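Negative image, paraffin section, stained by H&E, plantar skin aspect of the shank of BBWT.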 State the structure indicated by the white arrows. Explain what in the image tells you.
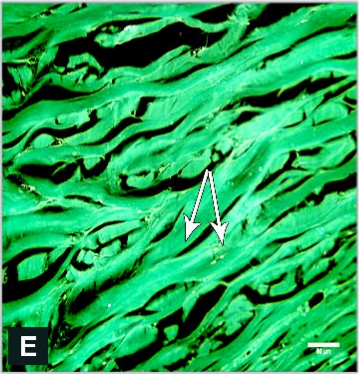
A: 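The arrows point to long wavy bands of fibrous material running in the same direction. Dark clefts separate the adjacent bands.
Hence: parallel bundles of collagen fibers.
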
